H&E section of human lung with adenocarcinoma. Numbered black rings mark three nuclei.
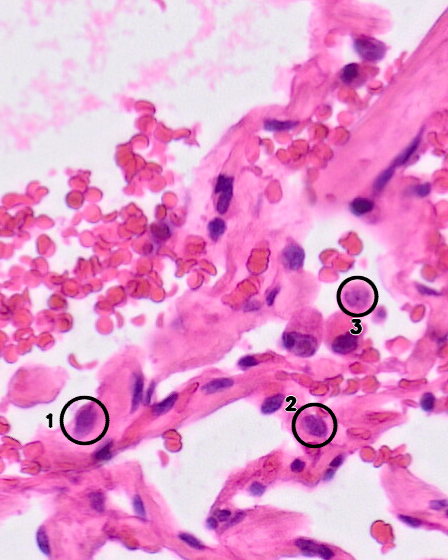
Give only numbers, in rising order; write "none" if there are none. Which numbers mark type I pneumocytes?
1, 2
